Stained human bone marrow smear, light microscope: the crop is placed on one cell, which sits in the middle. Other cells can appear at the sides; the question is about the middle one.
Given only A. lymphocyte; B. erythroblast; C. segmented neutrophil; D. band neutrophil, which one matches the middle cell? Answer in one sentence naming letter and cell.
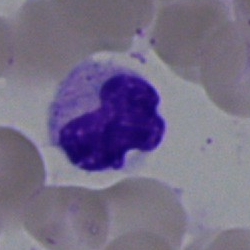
The cell at the centre, correctly named in option C, is a segmented neutrophil.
